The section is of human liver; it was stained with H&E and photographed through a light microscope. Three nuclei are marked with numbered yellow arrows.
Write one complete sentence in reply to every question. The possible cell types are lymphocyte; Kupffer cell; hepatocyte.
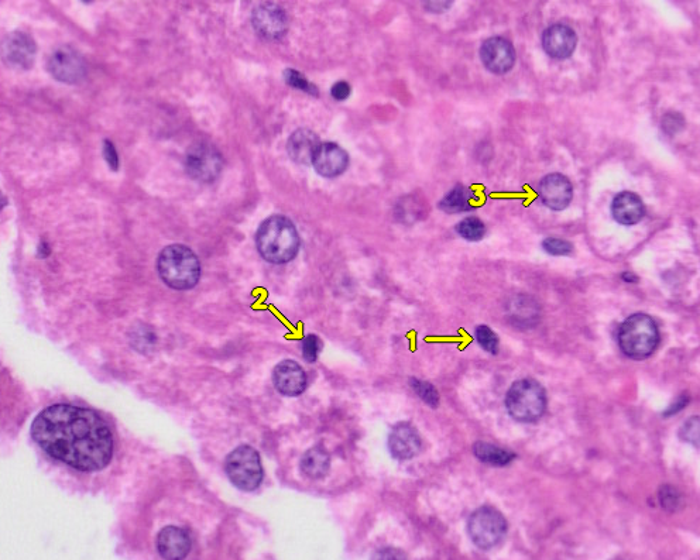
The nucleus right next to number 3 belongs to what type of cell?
Closest to number 3 lies the nucleus of a lymphocyte.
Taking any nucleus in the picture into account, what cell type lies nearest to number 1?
It is a hepatocyte whose nucleus is nearest to number 1.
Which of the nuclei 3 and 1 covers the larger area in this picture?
The larger nucleus is 3, at roughly 2 times the area of 1.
